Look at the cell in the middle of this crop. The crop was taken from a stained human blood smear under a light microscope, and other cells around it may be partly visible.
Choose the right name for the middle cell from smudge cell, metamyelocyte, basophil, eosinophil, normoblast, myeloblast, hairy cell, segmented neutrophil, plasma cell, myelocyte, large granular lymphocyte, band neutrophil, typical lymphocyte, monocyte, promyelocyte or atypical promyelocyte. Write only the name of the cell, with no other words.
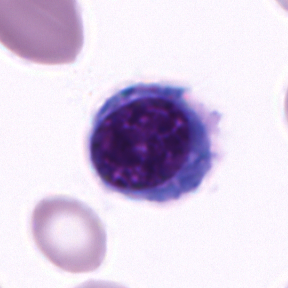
plasma cell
